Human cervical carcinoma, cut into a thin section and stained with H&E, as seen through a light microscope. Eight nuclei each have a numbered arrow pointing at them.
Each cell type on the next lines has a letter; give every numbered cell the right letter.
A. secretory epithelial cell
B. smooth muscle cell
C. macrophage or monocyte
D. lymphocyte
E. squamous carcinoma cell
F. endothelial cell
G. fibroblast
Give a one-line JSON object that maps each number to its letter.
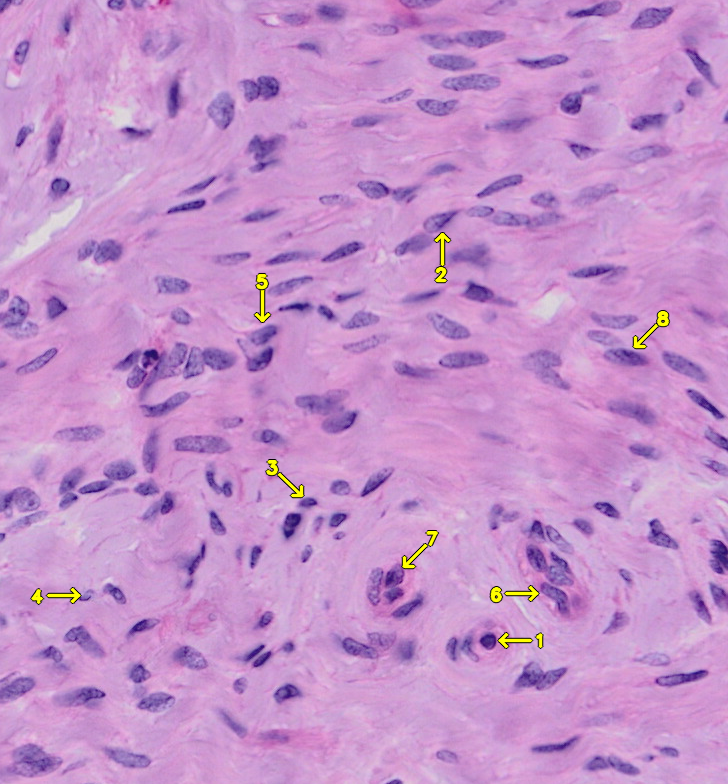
{"1": "F", "2": "G", "3": "G", "4": "G", "5": "G", "6": "F", "7": "F", "8": "G"}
